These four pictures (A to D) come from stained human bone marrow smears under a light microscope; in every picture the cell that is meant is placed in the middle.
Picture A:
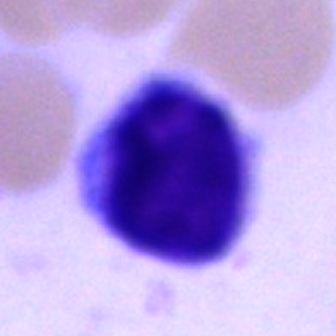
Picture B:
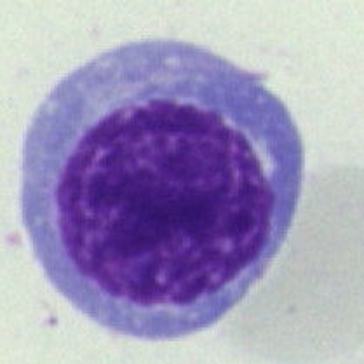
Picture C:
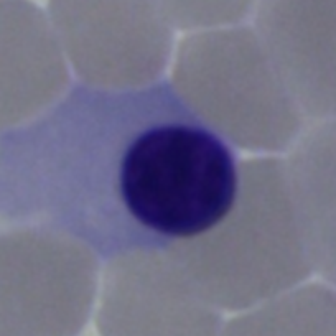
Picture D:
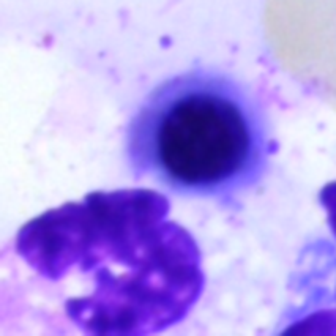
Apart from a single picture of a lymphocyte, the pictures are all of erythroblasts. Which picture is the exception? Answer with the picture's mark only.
A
